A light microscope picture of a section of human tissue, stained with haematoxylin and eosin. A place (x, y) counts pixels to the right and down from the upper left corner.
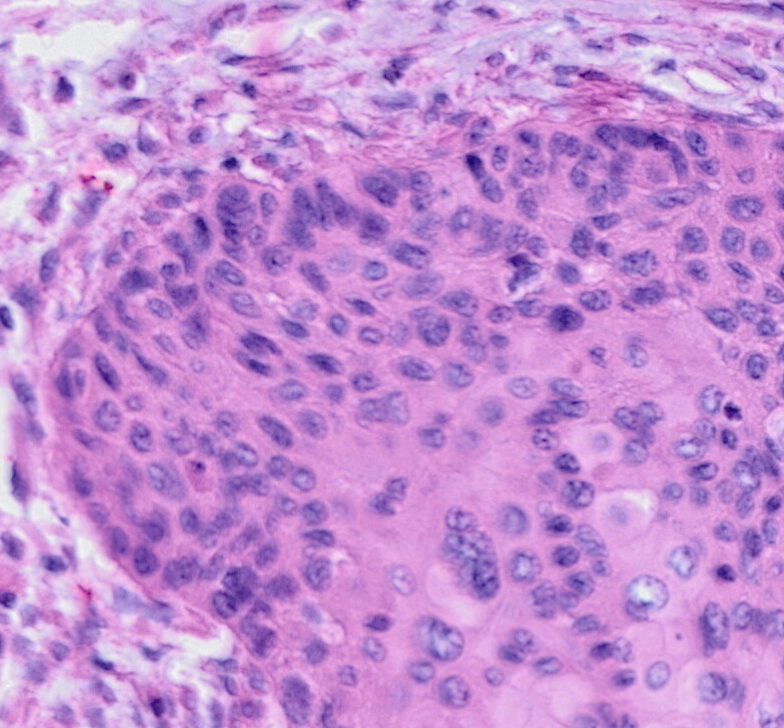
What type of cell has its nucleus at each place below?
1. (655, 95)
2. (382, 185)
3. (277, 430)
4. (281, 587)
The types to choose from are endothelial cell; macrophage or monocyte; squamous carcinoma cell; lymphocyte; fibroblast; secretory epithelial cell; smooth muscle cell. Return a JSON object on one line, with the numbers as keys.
{"1": "fibroblast", "2": "squamous carcinoma cell", "3": "squamous carcinoma cell", "4": "squamous carcinoma cell"}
